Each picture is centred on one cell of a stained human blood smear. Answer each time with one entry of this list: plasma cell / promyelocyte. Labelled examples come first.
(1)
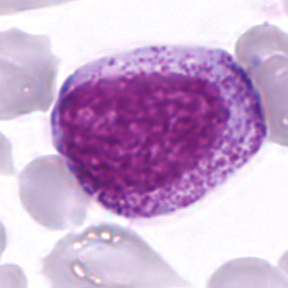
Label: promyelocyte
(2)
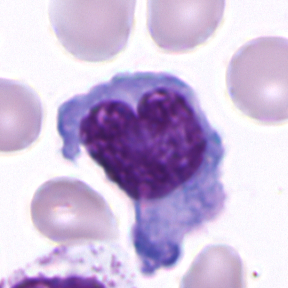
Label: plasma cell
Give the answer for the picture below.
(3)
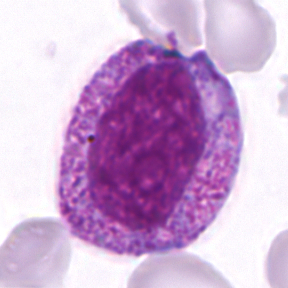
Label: promyelocyte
